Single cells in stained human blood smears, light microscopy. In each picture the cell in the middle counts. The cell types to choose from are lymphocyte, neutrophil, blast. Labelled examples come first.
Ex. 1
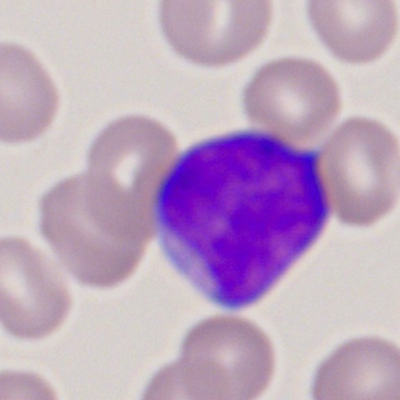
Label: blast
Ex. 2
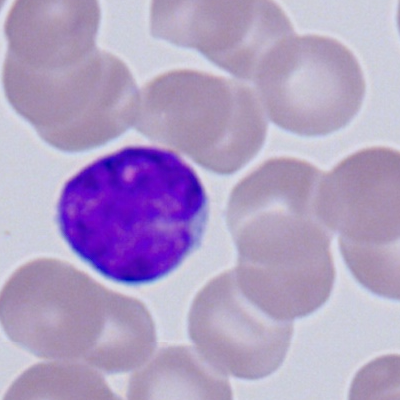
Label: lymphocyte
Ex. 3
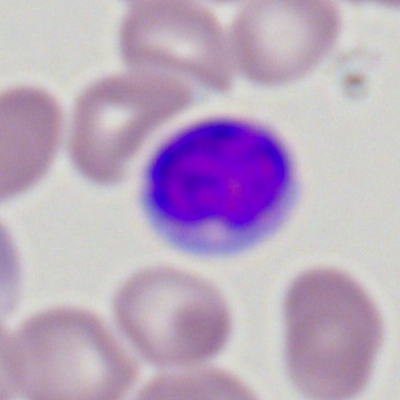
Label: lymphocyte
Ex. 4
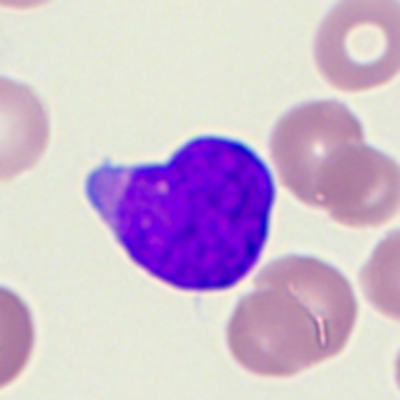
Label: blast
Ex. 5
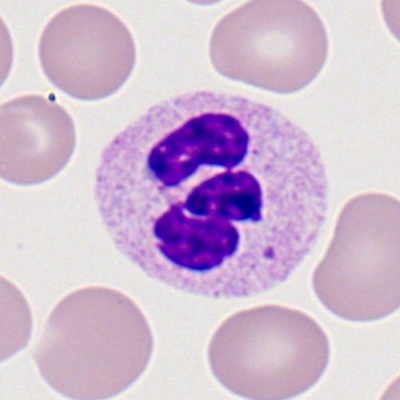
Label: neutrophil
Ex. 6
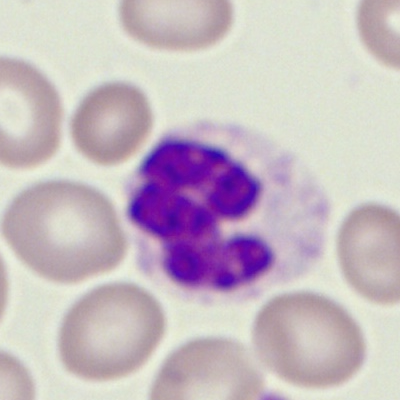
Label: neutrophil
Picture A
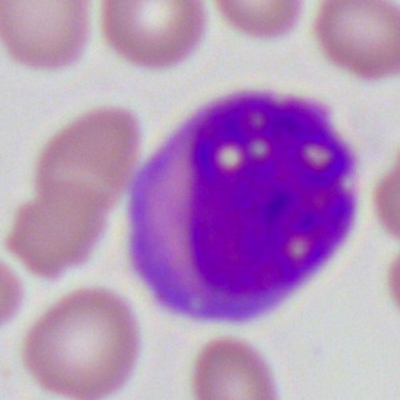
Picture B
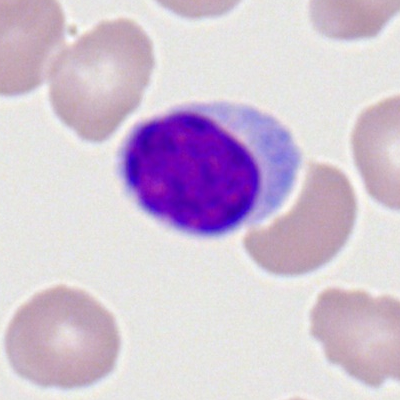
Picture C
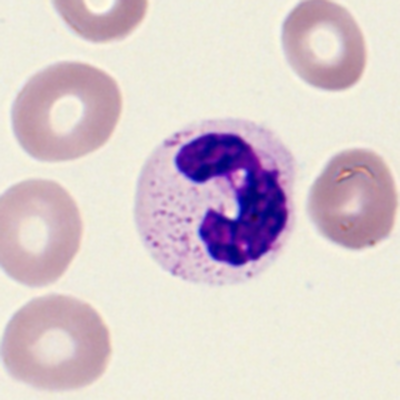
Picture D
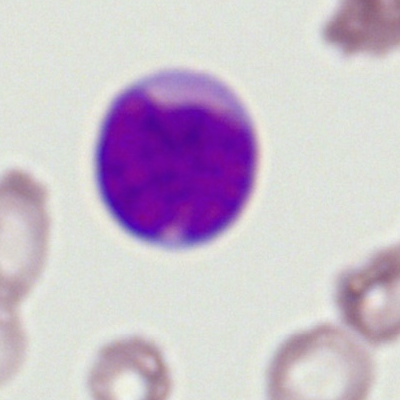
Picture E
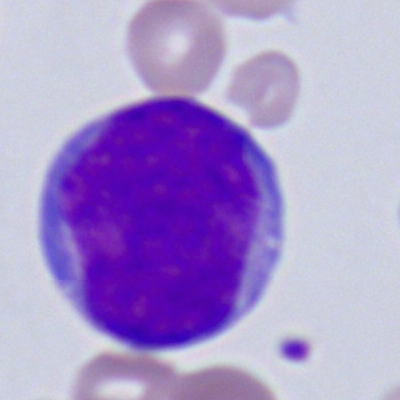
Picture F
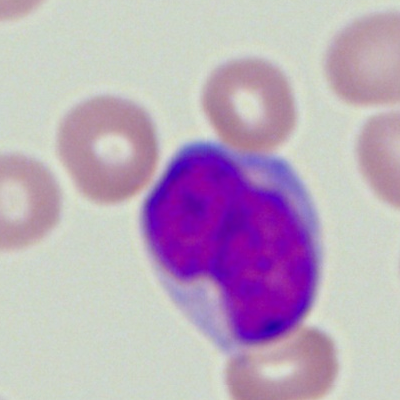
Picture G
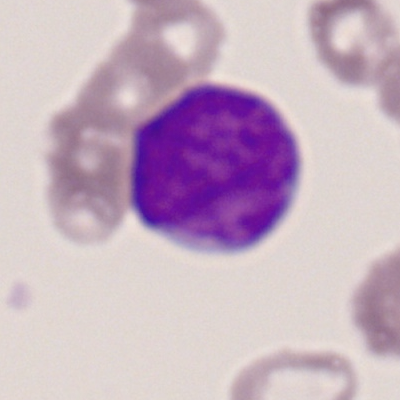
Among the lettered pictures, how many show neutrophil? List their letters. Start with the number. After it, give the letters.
Count: 1 (C)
